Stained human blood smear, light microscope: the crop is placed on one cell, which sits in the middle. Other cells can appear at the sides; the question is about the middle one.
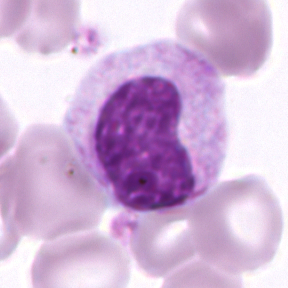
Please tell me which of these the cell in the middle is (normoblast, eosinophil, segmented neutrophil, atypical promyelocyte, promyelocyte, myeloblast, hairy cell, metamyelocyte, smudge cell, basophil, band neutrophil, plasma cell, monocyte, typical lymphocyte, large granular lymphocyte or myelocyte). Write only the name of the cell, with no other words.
metamyelocyte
